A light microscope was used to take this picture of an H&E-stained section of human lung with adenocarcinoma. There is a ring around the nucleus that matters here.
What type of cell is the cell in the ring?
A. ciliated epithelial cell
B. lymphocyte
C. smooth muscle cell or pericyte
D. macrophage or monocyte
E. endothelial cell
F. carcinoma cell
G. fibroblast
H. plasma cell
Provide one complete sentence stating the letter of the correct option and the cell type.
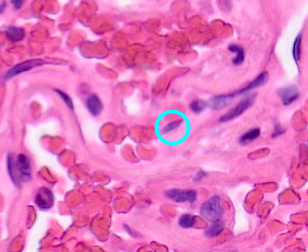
Answer with option E; the cell in the ring is an endothelial cell.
